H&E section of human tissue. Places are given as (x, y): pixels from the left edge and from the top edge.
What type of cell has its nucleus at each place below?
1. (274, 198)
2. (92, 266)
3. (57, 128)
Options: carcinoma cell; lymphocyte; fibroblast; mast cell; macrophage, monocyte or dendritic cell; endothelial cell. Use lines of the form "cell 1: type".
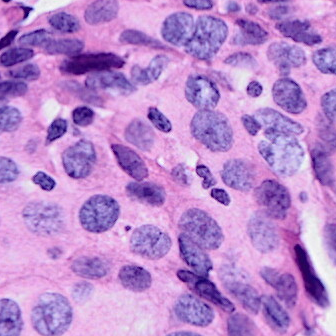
cell 1: carcinoma cell
cell 2: carcinoma cell
cell 3: lymphocyte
